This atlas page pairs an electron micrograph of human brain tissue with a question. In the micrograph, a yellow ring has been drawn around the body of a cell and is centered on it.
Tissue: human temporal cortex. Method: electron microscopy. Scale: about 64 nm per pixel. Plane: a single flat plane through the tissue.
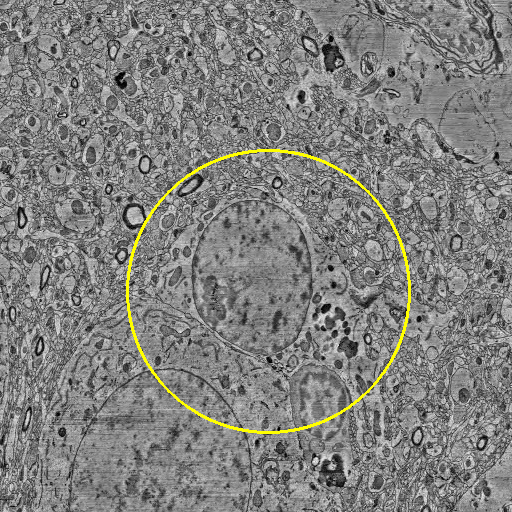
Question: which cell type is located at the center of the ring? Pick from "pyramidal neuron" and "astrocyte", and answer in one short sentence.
Located at the center of the ring is an astrocyte.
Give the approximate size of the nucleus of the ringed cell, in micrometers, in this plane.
The ringed cell's nucleus measures approximately 10 by 8 micrometres in this plane.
